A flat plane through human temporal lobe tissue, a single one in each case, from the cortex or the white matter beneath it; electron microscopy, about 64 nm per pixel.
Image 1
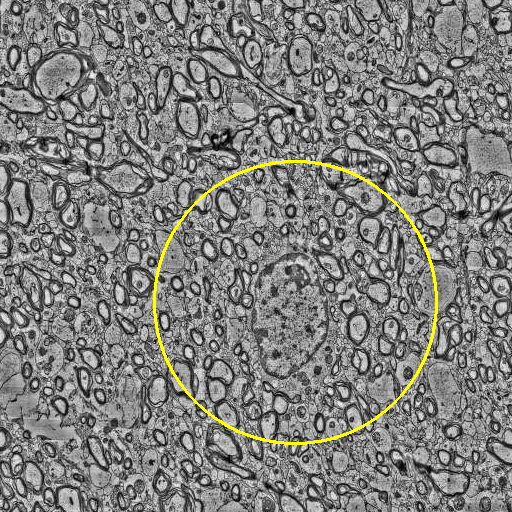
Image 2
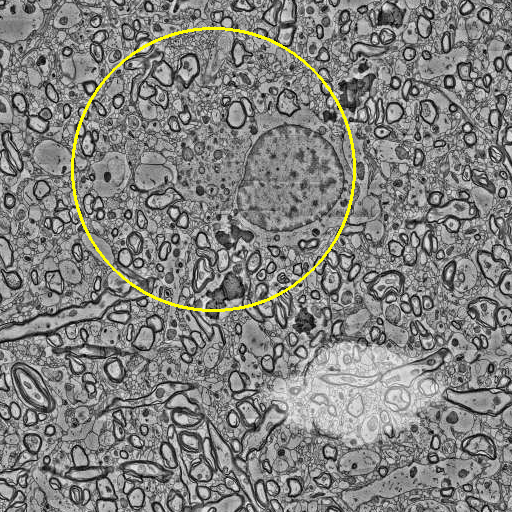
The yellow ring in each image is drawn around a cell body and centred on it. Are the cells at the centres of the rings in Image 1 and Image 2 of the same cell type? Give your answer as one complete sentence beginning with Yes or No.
Yes, both cells are of the same type.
